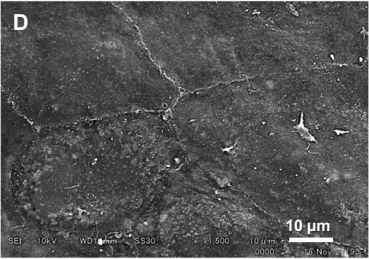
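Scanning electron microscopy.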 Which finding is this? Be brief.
Cobblestone‐like pattern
